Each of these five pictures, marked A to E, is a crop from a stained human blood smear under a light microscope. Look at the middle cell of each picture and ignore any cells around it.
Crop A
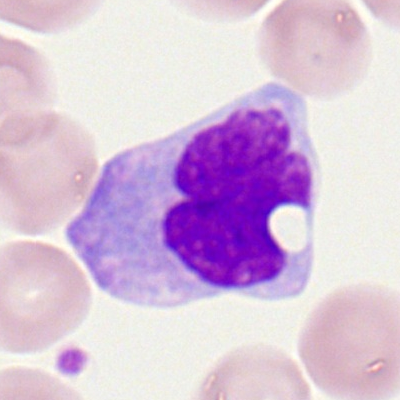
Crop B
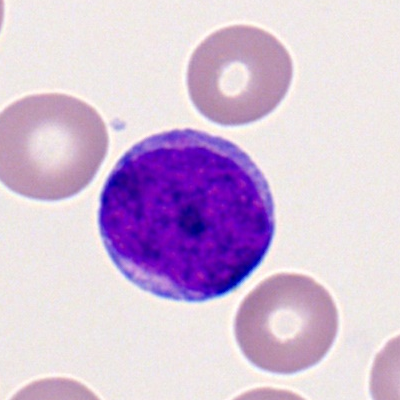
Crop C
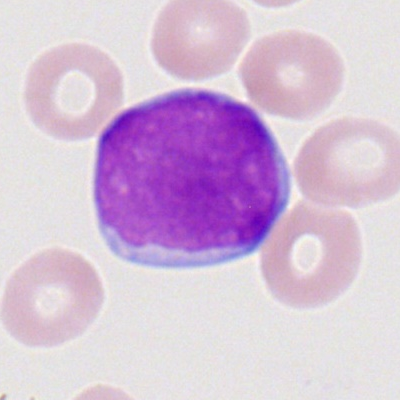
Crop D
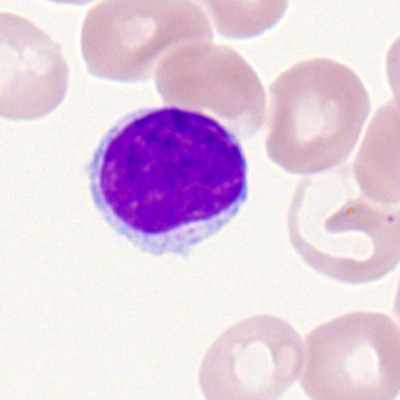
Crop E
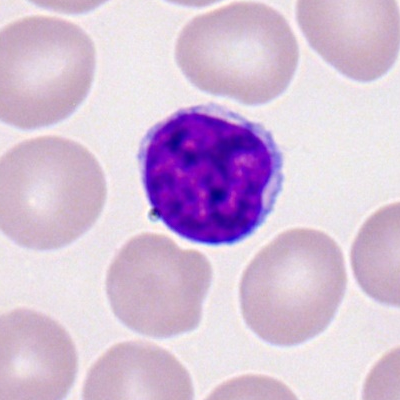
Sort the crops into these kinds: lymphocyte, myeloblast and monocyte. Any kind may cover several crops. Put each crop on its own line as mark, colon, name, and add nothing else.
A: monocyte
B: myeloblast
C: myeloblast
D: lymphocyte
E: lymphocyte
